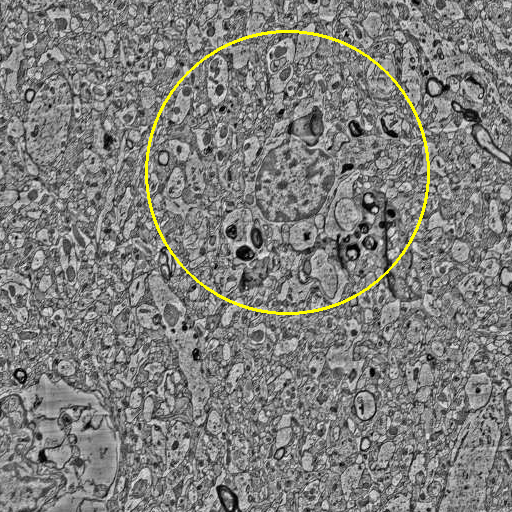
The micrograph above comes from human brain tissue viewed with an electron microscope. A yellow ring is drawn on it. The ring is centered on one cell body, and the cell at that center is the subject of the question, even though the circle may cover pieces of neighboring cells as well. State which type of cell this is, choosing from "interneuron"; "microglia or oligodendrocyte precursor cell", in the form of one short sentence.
The cell the ring is centered on is a microglial cell or oligodendrocyte precursor cell.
